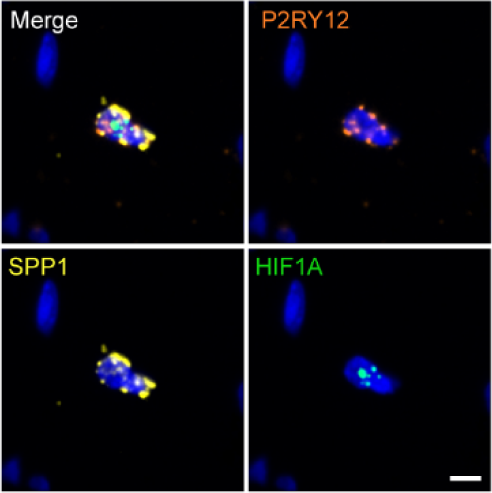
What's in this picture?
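Four views of the same single microglial cell, one merged and three single channels. Yellow puncta form a dense cluster around and over the blue nucleus, orange puncta are scattered over it, and a few green dots lie within the nucleus.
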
